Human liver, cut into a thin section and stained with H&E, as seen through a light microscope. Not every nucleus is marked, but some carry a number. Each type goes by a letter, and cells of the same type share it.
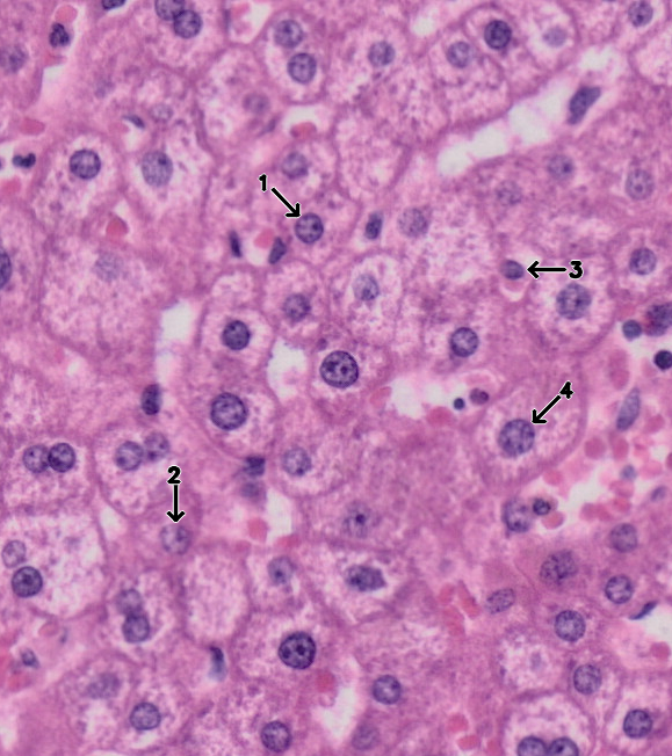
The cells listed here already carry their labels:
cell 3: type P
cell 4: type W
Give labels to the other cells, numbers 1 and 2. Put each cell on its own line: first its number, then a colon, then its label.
1: type W
2: type W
